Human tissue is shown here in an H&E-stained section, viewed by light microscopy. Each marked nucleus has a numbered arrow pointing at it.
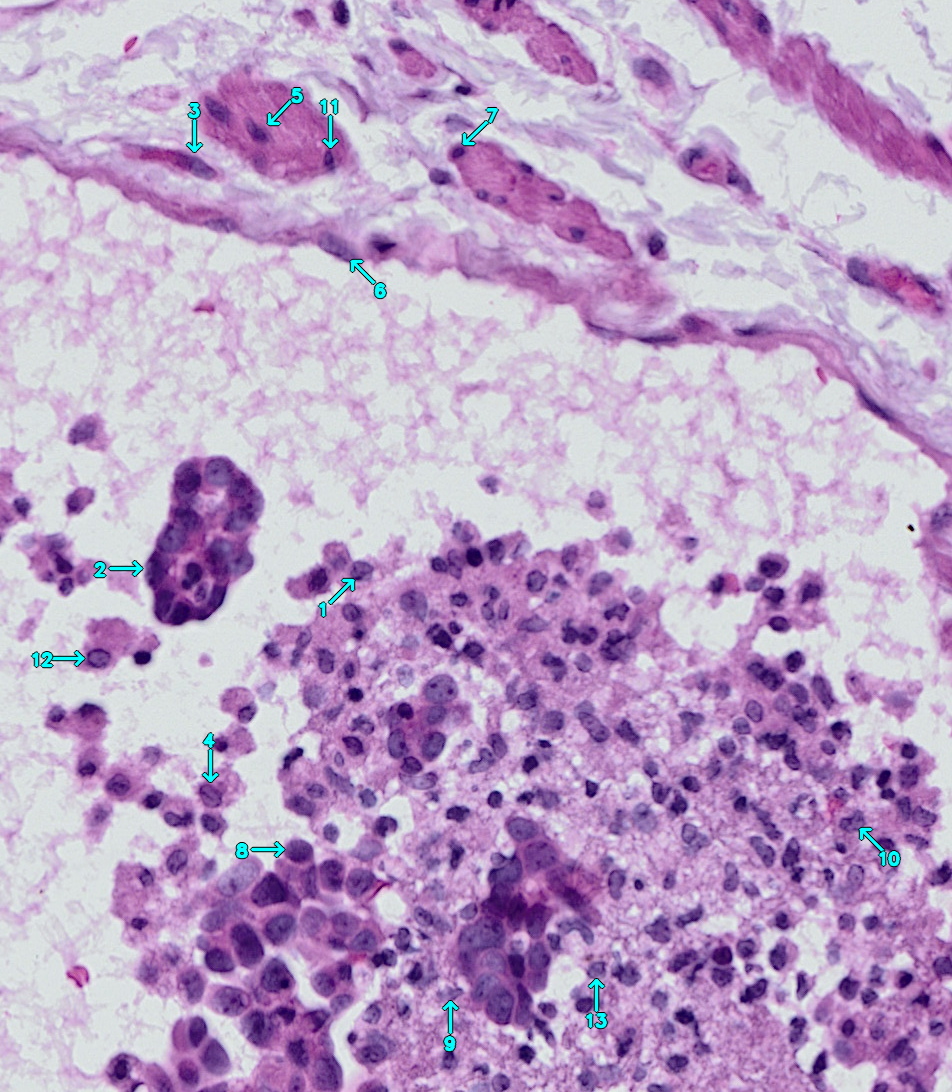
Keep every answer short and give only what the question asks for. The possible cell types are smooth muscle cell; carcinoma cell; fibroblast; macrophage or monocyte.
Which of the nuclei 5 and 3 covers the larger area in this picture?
3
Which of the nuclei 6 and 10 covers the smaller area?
10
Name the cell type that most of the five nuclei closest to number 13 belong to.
macrophage or monocyte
